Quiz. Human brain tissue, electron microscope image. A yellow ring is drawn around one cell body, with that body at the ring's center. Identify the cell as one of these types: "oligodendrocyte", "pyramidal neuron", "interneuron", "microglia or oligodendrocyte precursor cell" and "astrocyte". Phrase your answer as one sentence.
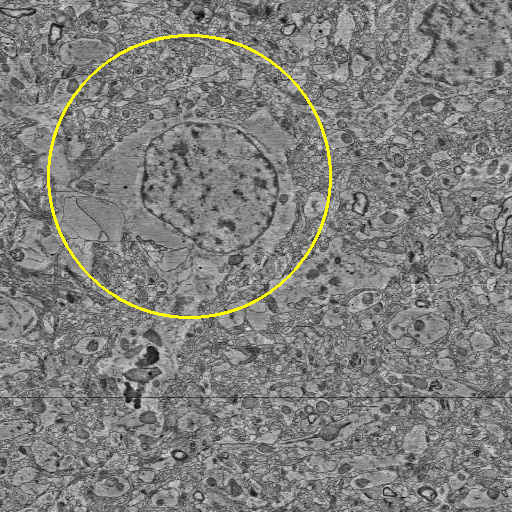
At the center of the ring sits an astrocyte.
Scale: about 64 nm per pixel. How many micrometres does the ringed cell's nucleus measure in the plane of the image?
In this plane, the nucleus is roughly 9 by 8 micrometres.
